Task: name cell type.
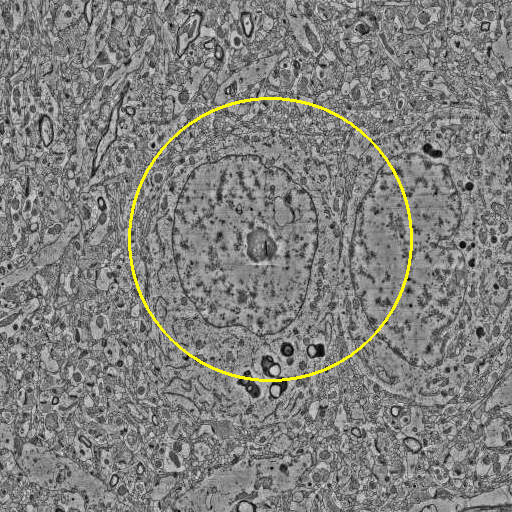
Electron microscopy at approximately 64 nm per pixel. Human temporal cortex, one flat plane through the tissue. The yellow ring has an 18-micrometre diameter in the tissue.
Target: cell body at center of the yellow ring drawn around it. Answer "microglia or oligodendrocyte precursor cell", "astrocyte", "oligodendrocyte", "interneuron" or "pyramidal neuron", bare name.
pyramidal neuron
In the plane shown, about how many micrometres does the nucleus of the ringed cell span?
In this plane the nucleus measures roughly 12 by 10 micrometres.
